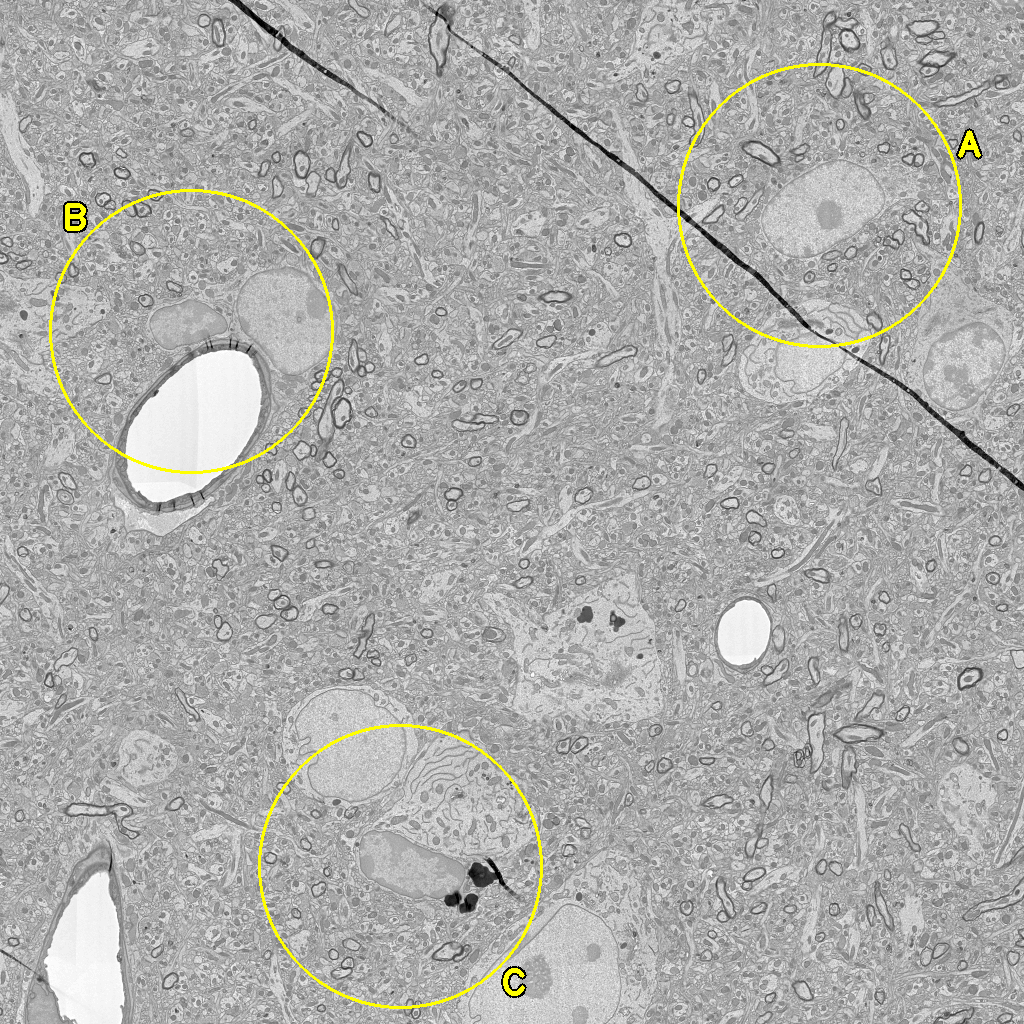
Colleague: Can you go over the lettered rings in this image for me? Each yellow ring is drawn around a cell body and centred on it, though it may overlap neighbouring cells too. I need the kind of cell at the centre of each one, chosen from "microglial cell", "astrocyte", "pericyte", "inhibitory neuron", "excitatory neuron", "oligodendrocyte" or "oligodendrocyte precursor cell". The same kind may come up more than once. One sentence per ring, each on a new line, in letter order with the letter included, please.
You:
Ring A marks the cell body of an astrocyte.
Ring B marks the cell body of a microglial cell.
Ring C marks the cell body of a microglial cell.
